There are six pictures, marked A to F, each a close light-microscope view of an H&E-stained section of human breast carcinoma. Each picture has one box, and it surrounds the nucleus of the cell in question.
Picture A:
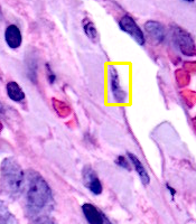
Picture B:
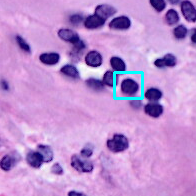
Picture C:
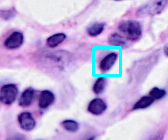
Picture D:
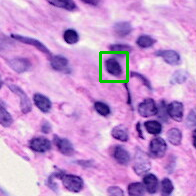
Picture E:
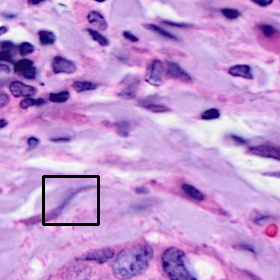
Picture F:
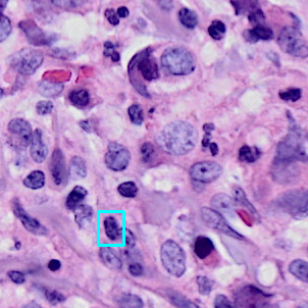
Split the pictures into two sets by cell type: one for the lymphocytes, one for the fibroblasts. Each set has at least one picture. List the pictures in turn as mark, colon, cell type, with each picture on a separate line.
A: fibroblast
B: lymphocyte
C: lymphocyte
D: lymphocyte
E: fibroblast
F: lymphocyte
